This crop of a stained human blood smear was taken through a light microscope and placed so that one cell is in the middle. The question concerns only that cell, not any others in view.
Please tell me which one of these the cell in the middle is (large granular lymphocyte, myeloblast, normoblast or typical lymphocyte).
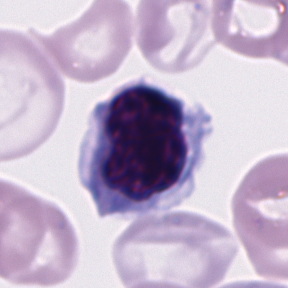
normoblast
